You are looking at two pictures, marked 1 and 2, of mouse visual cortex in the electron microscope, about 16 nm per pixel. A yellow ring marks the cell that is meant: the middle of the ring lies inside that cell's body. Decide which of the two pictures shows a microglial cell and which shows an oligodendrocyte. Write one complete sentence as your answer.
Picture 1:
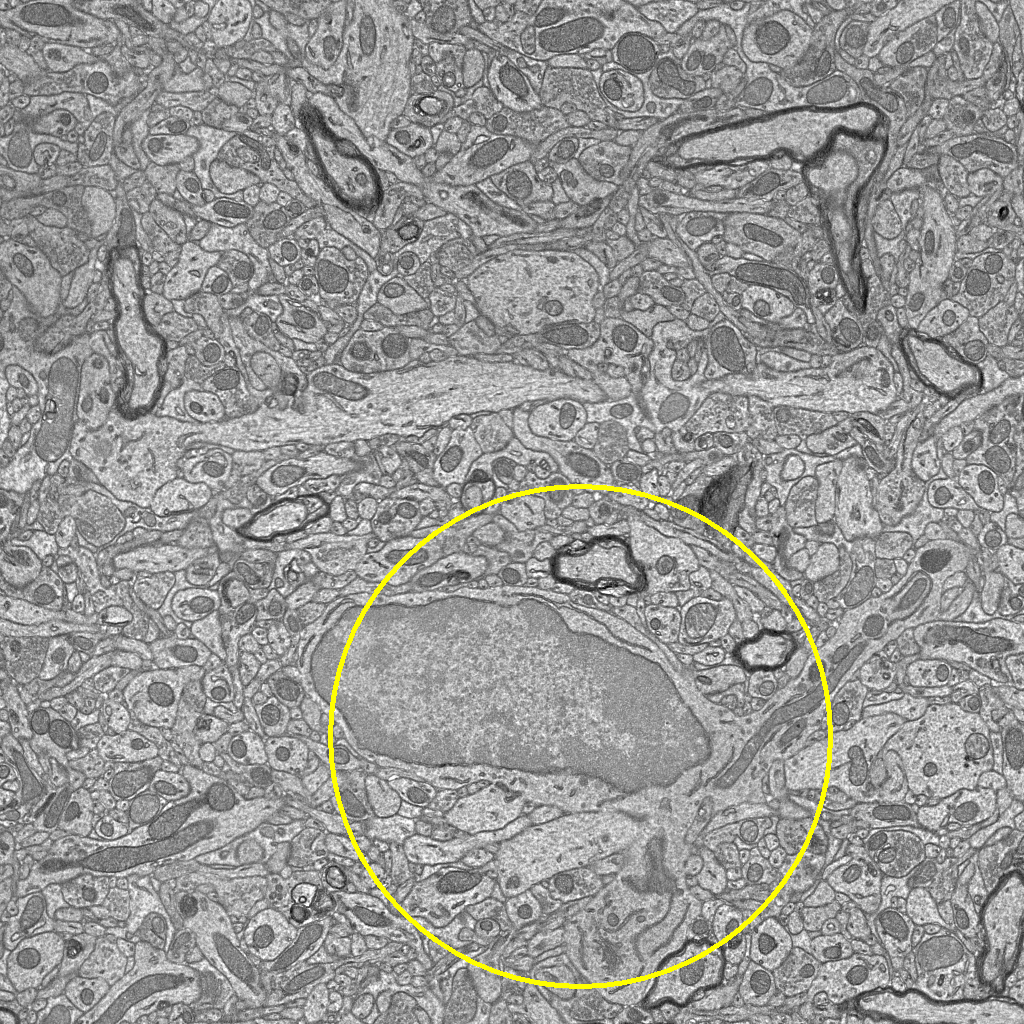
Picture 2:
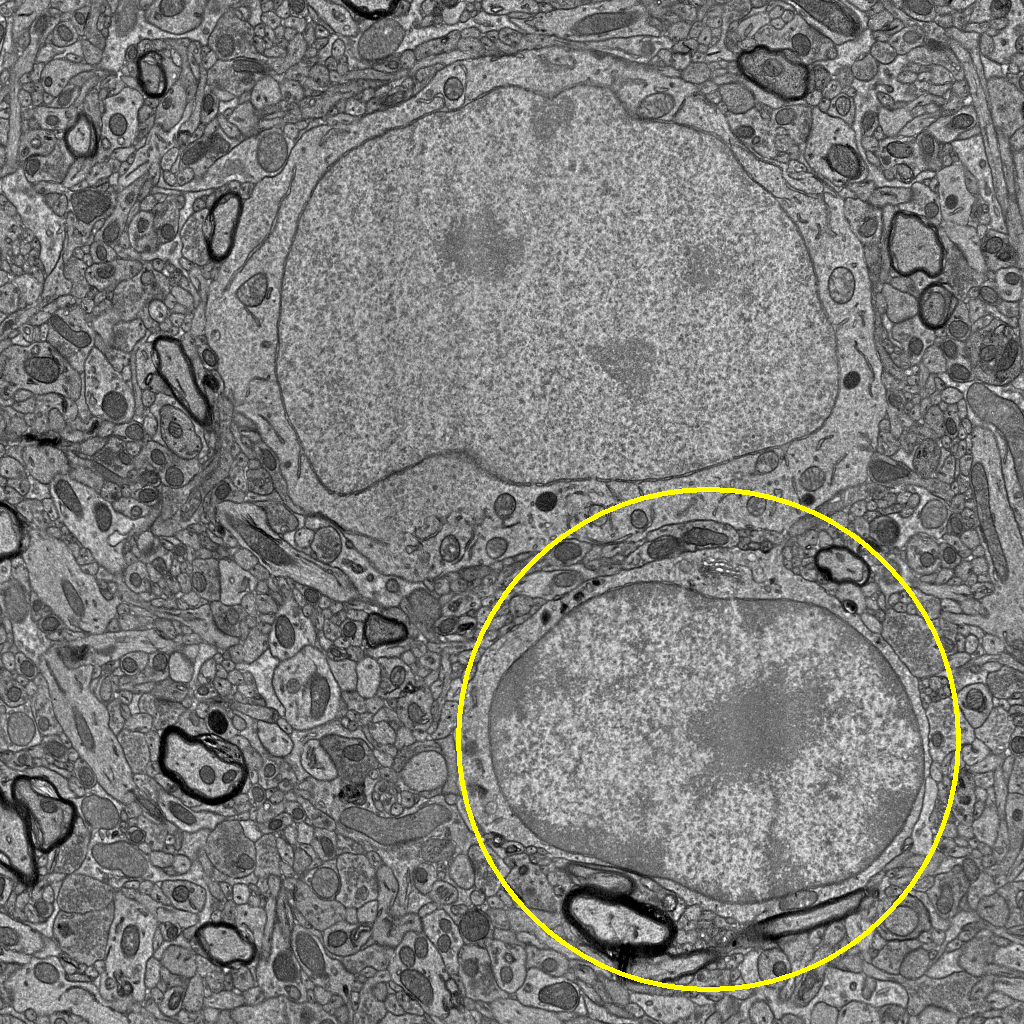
Picture 2 shows an oligodendrocyte, while picture 1 shows a microglial cell.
